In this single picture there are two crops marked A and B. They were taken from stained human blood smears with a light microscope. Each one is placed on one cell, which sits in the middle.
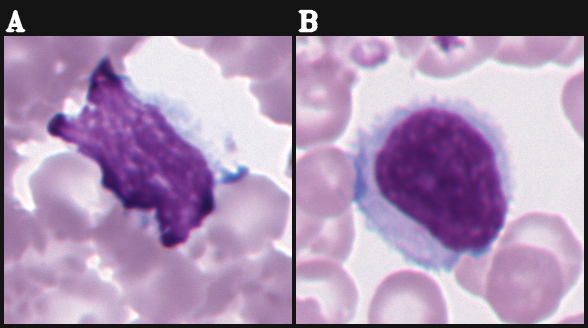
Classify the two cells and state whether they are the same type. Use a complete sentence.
Yes, both crops in the pair show typical lymphocytes.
